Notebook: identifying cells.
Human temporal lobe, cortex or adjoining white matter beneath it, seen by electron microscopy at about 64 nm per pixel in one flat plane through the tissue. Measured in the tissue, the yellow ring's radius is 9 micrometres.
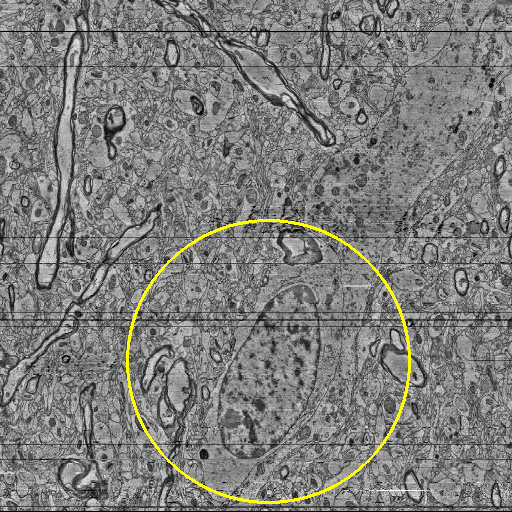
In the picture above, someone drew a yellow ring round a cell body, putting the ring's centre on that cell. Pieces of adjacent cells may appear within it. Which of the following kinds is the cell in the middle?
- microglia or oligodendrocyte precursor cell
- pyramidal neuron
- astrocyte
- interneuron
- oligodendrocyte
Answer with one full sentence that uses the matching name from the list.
In this picture, the yellow ring is centred on the body of a microglial cell or oligodendrocyte precursor cell.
